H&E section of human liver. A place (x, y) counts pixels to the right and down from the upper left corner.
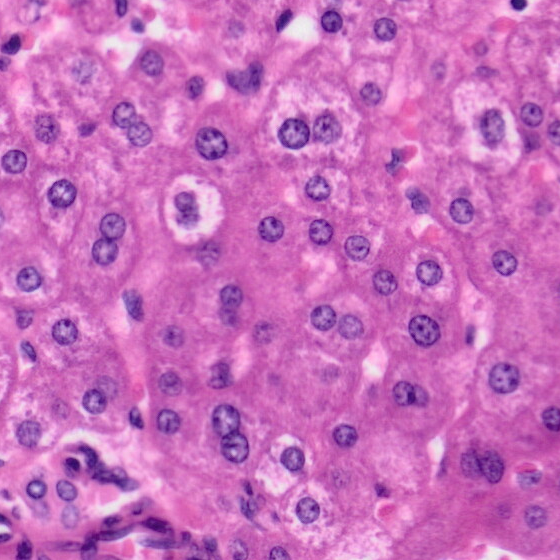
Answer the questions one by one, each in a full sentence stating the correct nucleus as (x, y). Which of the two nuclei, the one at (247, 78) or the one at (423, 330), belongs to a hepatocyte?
At (423, 330) lies the nucleus that belongs to a hepatocyte.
